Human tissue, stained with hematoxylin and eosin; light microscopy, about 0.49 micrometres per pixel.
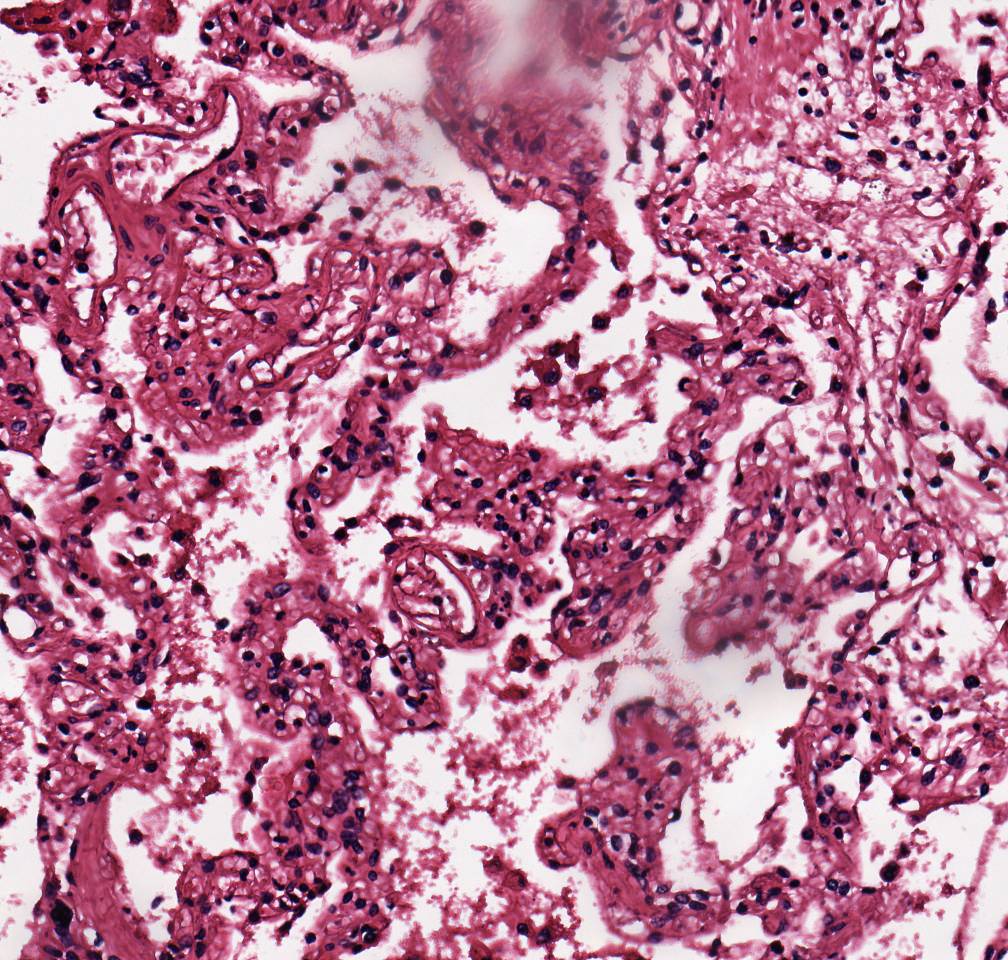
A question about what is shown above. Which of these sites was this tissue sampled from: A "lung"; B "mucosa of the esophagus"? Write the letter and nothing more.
A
